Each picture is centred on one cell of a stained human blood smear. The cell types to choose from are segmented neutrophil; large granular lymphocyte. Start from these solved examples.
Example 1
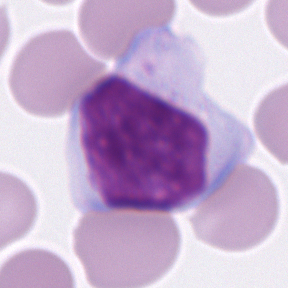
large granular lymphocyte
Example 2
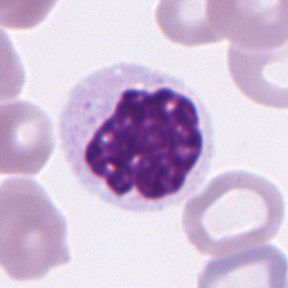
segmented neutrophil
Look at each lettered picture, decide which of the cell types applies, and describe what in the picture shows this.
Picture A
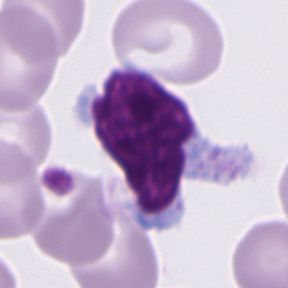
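large granular lymphocyte. Reason: The cytoplasm is scant, appearing only as thin patches at the edges of the nucleus.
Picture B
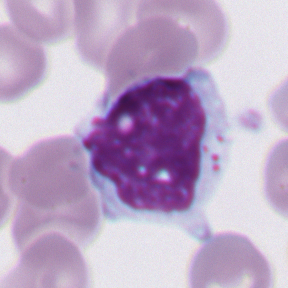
large granular lymphocyte. Reason: The cytoplasm forms a narrow, pale greyish-blue rim around the nucleus.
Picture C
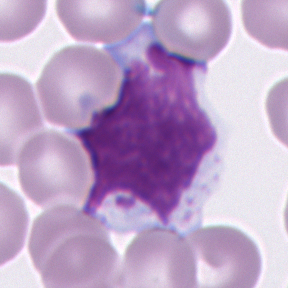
large granular lymphocyte. Reason: The nucleus fills most of the cell.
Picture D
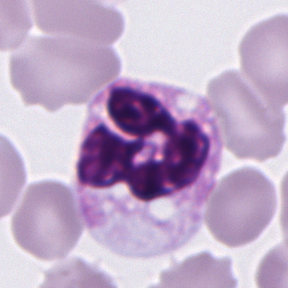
segmented neutrophil. Reason: The cytoplasm is plentiful and pale pinkish-lilac.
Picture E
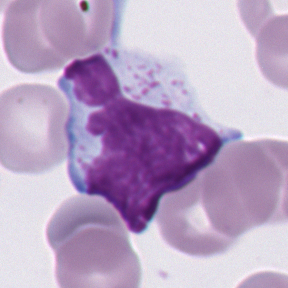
large granular lymphocyte. Reason: The nucleus fills most of the cell area.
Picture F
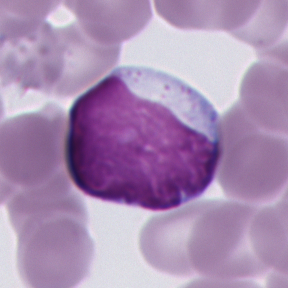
large granular lymphocyte. Reason: The nucleus fills most of the cell, leaving cytoplasm only as a crescent along the upper right.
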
